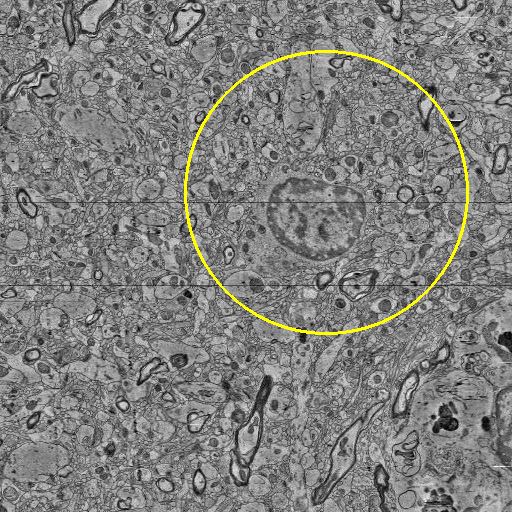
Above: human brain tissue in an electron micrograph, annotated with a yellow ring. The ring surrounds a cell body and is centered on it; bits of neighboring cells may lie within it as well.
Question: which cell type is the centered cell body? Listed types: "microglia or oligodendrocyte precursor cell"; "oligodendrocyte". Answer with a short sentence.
The centered cell body is an oligodendrocyte.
